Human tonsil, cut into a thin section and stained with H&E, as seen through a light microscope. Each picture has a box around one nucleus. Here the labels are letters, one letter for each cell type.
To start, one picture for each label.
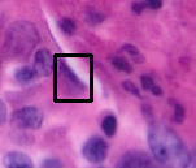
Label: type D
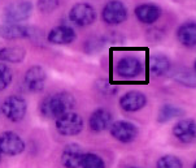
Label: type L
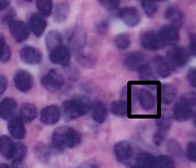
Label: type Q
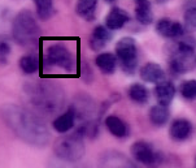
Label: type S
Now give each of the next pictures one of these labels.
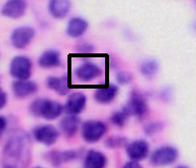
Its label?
type Q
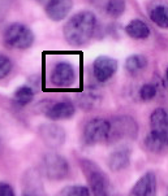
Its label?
type L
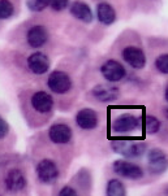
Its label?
type L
